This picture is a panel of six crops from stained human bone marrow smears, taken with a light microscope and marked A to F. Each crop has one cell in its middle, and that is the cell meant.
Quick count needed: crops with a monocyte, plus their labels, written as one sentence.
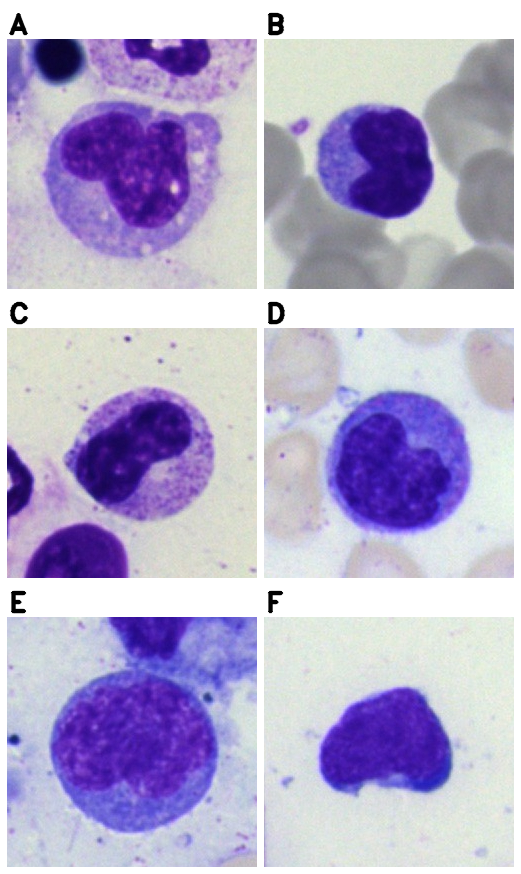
The cells in crops A, B, D and E are monocytes, giving four crops of this kind.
